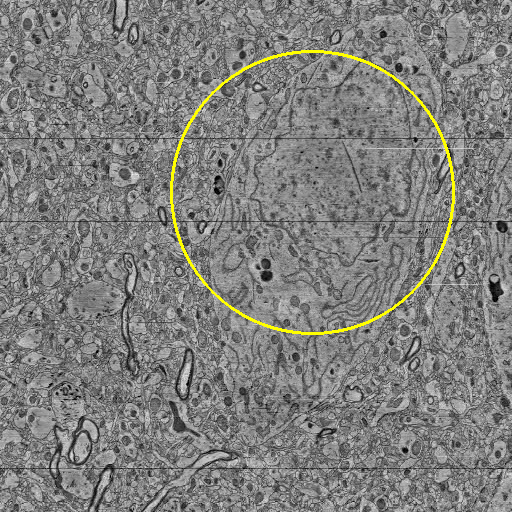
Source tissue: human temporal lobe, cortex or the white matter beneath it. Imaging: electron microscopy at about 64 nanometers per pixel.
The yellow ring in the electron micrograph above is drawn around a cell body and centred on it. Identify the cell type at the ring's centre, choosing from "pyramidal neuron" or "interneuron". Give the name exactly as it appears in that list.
interneuron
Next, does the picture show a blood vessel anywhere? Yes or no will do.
No, the image shows no blood vessel.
